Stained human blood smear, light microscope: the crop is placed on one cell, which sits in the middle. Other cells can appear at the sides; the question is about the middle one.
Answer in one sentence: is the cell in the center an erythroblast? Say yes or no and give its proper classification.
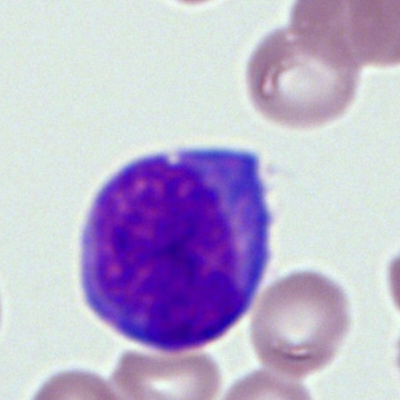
No, at the middle of the crop is a myeloblast, not an erythroblast.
